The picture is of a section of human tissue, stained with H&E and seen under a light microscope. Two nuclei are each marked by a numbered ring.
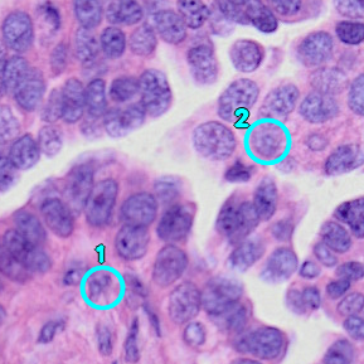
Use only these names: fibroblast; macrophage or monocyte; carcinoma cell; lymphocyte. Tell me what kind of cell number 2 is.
carcinoma cell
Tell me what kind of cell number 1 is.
fibroblast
